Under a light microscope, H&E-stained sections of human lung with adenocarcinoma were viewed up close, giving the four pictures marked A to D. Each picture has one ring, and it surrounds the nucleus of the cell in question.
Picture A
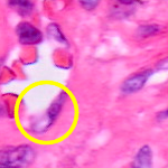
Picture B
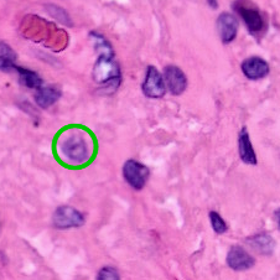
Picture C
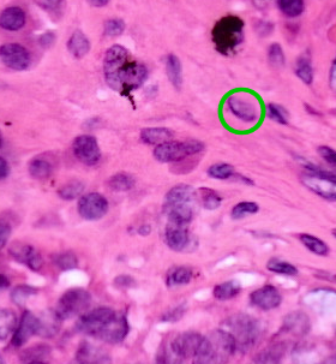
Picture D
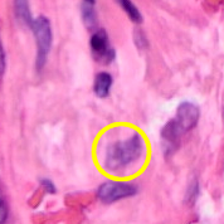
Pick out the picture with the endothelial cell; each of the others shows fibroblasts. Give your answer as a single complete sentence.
The picture with the endothelial cell is A.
